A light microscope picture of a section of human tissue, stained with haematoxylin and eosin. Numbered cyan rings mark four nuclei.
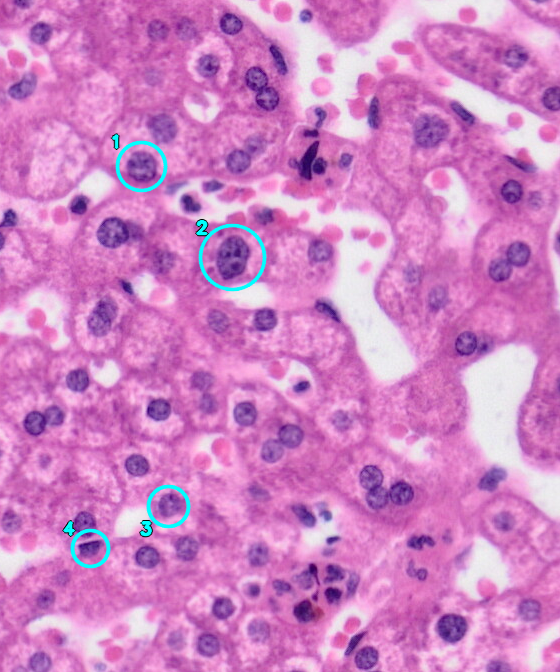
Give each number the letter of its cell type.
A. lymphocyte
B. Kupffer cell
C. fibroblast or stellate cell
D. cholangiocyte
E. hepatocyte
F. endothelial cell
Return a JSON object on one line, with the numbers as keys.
{"1": "E", "2": "E", "3": "E", "4": "C"}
